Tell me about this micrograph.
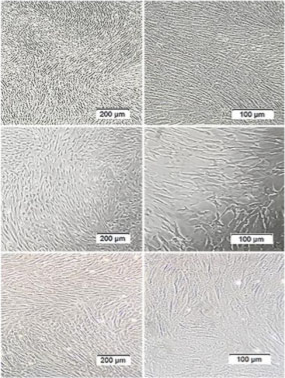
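Unstained cultured cells in a flat monolayer, in three rows, each shown at lower and higher magnification. The cells are elongated and spindle-shaped, with tapering ends and thin processes. In the top and bottom rows they are densely packed, lying roughly parallel in streams and whorls. In the middle row they are sparser, leaving gaps between them, and some cells are more stellate.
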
